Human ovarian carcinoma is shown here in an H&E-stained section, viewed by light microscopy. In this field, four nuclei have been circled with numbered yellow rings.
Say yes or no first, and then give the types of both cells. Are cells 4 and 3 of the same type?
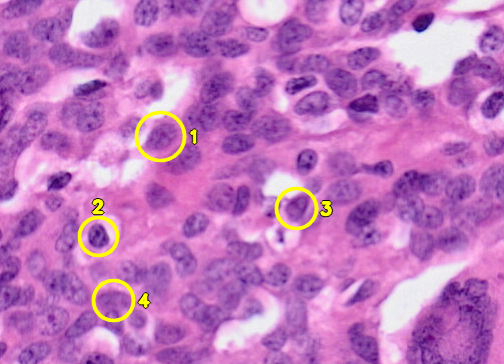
Yes, cells 4 and 3 are both carcinoma cells in this section.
